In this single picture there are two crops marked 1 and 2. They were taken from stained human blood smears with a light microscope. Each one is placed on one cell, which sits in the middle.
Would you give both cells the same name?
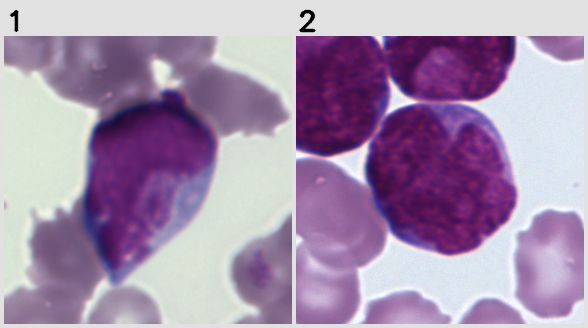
yes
